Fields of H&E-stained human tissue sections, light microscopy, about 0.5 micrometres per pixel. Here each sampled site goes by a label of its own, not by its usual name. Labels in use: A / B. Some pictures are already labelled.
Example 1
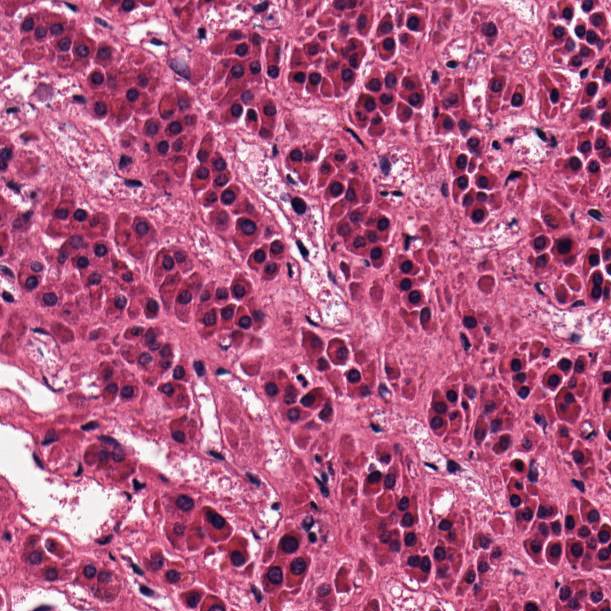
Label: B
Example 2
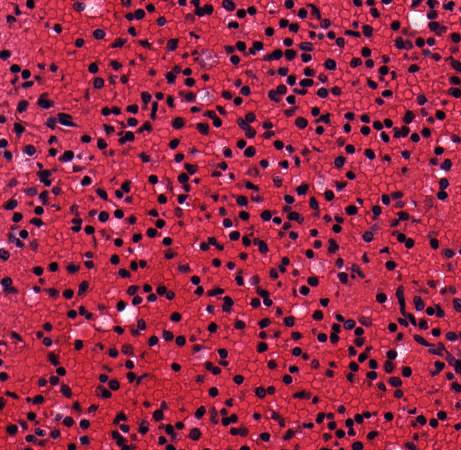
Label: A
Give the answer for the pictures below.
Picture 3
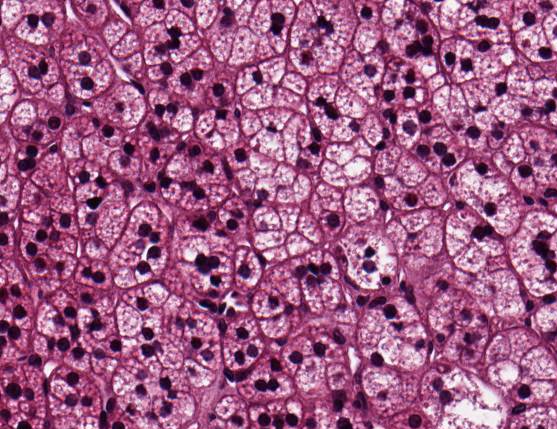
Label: B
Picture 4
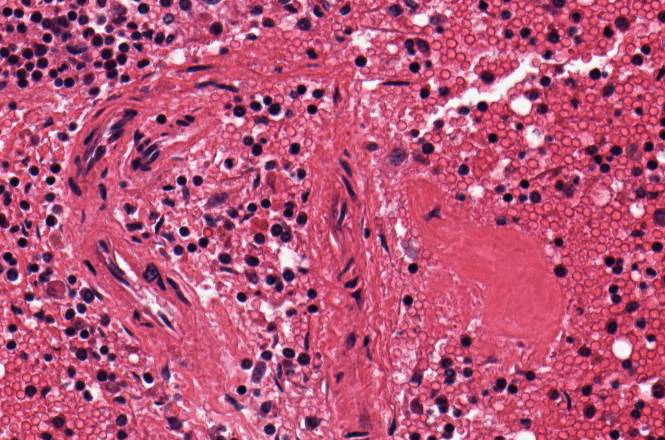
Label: A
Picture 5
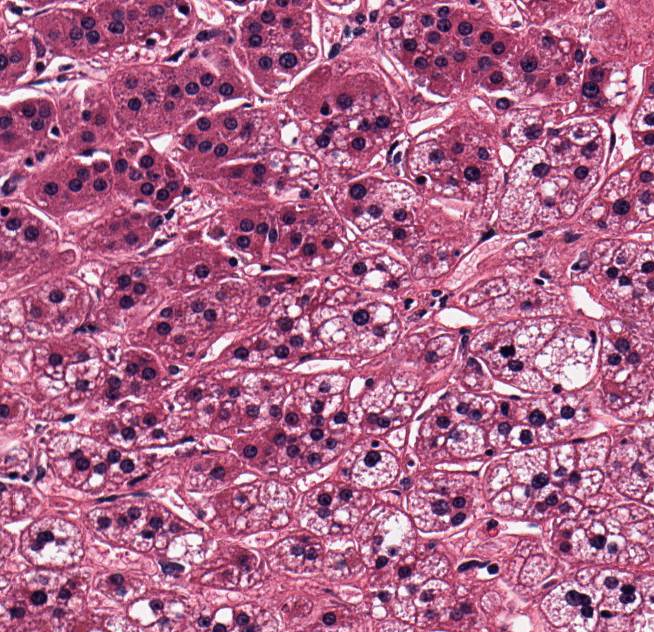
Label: B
